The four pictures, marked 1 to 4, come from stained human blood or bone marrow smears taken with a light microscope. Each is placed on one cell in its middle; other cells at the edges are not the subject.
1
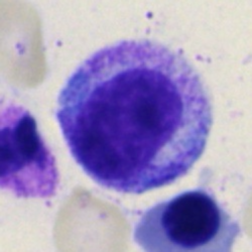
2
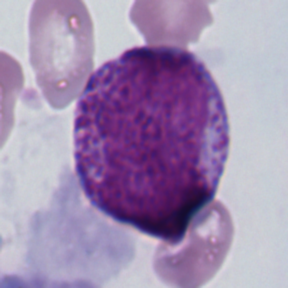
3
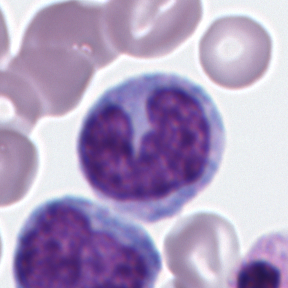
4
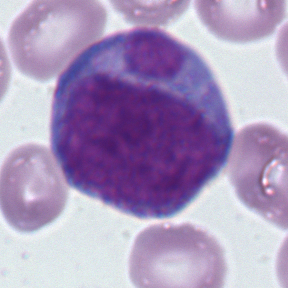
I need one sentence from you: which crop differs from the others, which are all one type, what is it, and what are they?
The different crop is crop 3, a monocyte; all the others show promyelocytes.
